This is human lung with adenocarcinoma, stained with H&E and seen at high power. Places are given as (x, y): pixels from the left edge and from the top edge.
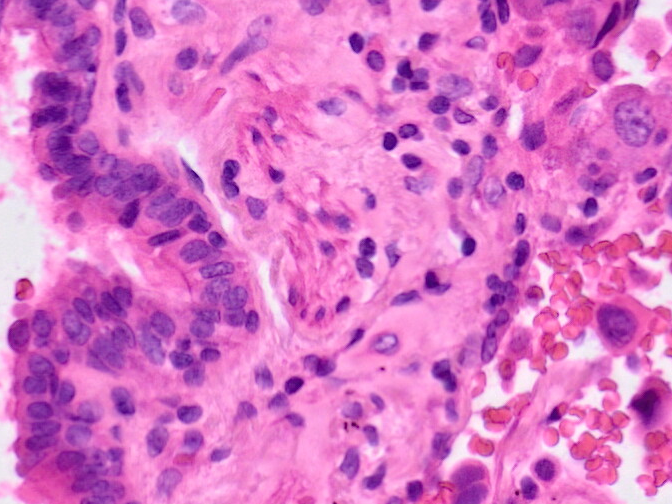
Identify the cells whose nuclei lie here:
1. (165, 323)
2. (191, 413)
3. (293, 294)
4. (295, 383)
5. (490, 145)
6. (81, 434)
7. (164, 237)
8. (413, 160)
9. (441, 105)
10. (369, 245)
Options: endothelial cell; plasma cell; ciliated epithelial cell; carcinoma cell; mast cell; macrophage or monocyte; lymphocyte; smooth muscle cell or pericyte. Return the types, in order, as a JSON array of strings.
["ciliated epithelial cell", "lymphocyte", "smooth muscle cell or pericyte", "lymphocyte", "lymphocyte", "ciliated epithelial cell", "ciliated epithelial cell", "lymphocyte", "lymphocyte", "lymphocyte"]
